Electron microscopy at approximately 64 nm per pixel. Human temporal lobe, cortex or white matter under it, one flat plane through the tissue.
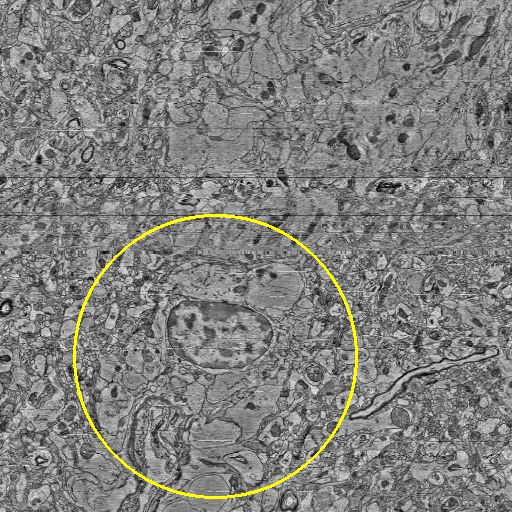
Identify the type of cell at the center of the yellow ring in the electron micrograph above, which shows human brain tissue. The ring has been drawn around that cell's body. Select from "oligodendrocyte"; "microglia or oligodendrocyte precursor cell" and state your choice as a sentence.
The yellow ring is centered on the body of a microglial cell or oligodendrocyte precursor cell.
